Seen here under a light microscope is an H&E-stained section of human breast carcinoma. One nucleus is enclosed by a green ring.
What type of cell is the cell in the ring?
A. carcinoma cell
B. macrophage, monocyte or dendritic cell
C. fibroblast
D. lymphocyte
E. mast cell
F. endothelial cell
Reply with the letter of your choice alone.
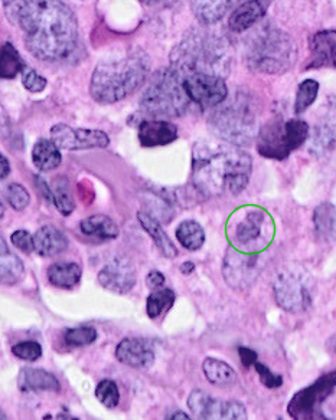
B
